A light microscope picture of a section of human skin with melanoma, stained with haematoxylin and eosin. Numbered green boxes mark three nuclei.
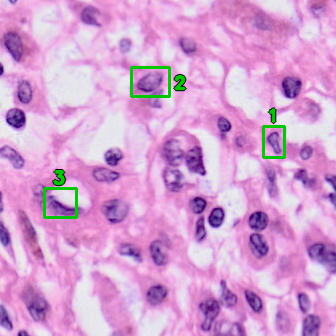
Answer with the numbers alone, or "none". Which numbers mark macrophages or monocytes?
1, 2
